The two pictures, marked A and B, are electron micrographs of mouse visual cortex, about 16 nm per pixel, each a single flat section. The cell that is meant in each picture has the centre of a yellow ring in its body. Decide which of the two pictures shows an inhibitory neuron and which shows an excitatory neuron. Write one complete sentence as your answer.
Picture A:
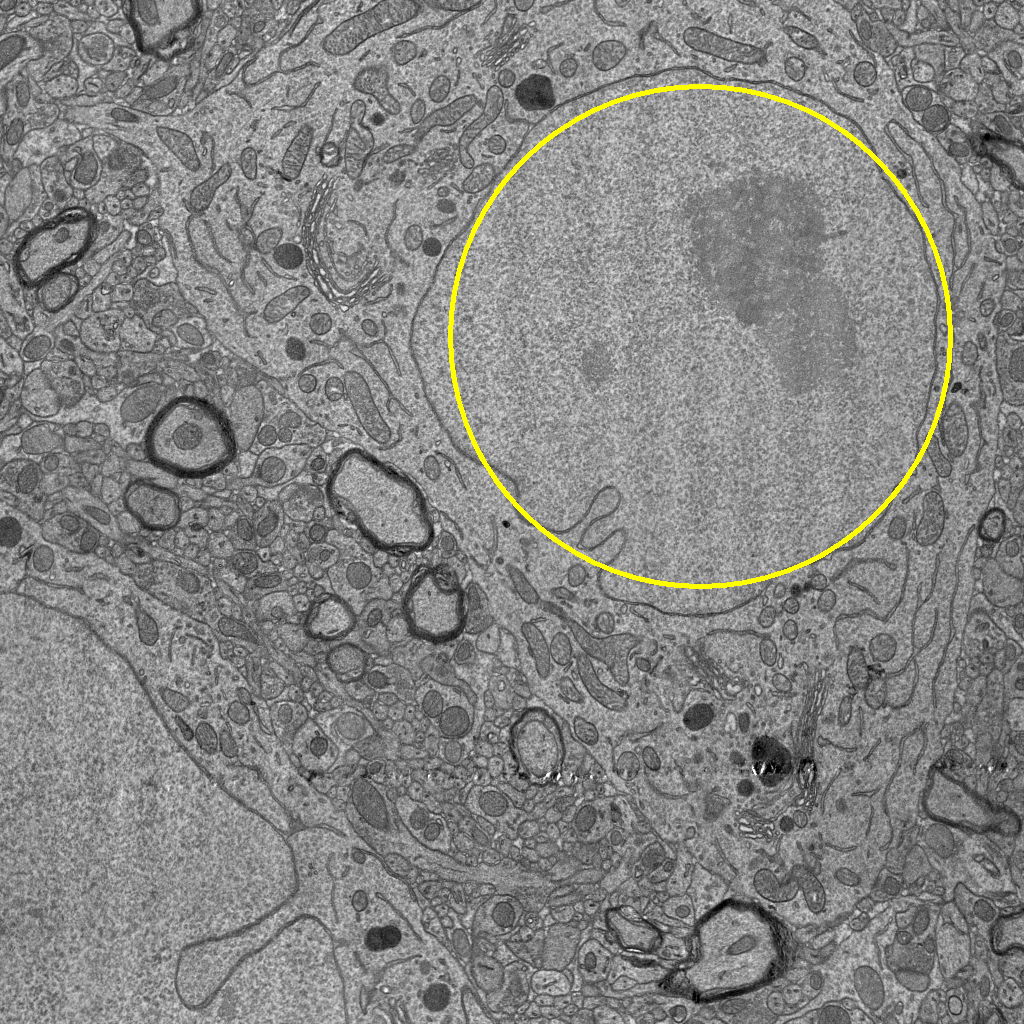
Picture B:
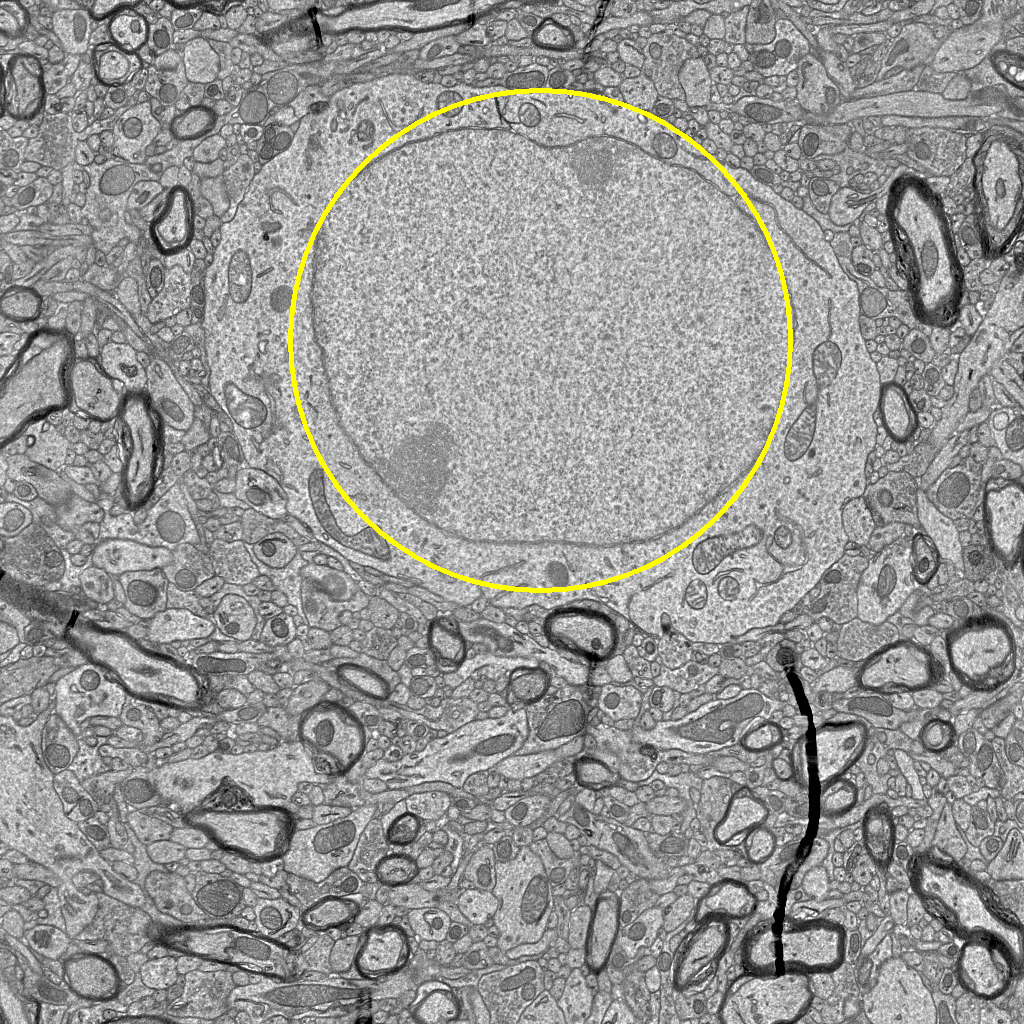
It is picture A that shows an inhibitory neuron, and picture B that shows an excitatory neuron.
